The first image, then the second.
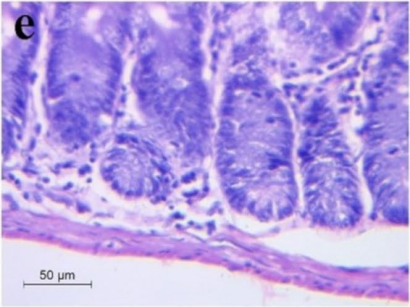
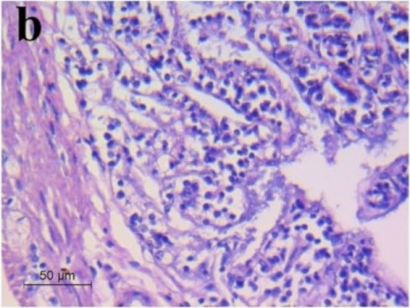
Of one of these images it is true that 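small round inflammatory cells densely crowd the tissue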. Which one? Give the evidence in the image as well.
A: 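First image: orderly crypts with only a few small cells in the thin connective tissue between them. Second image: the connective tissue is packed with numerous small dark round nuclei. The answer: the second image.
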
